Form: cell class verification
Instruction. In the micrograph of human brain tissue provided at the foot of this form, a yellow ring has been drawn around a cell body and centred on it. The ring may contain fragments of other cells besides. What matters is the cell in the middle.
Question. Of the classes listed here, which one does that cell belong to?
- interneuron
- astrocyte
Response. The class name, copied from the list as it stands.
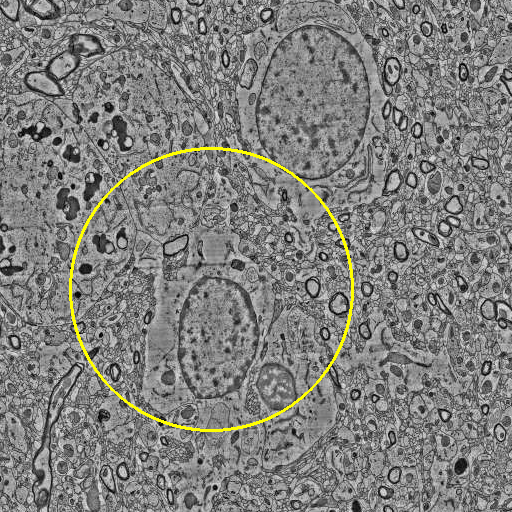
astrocyte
